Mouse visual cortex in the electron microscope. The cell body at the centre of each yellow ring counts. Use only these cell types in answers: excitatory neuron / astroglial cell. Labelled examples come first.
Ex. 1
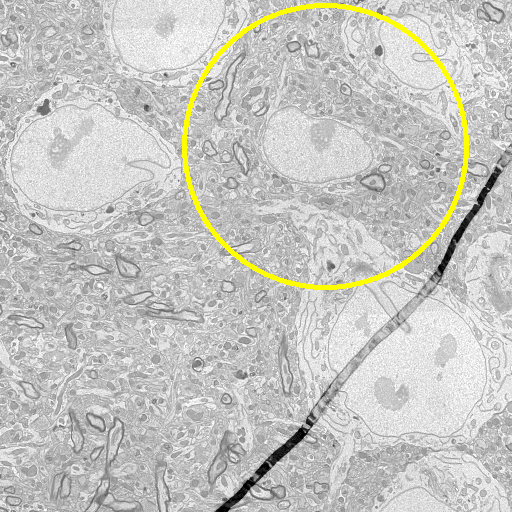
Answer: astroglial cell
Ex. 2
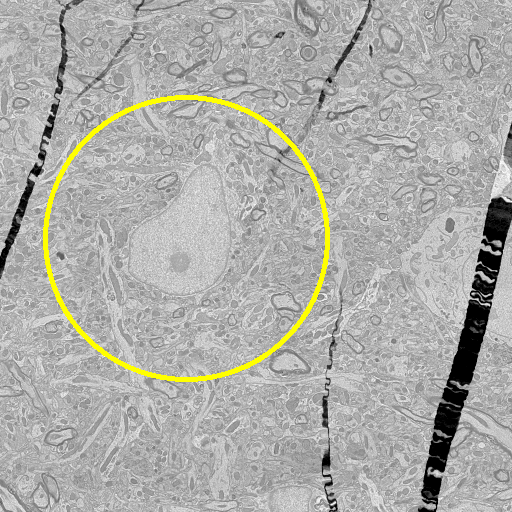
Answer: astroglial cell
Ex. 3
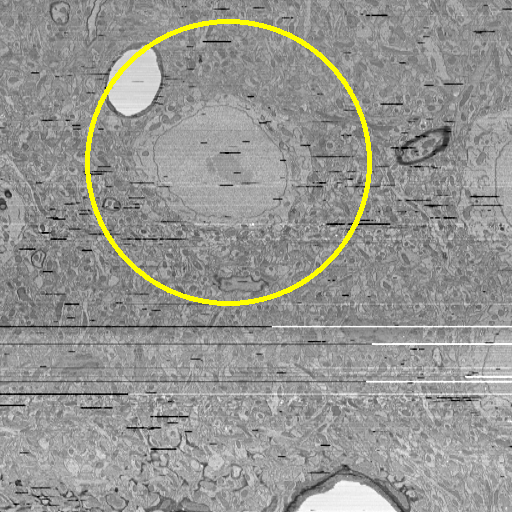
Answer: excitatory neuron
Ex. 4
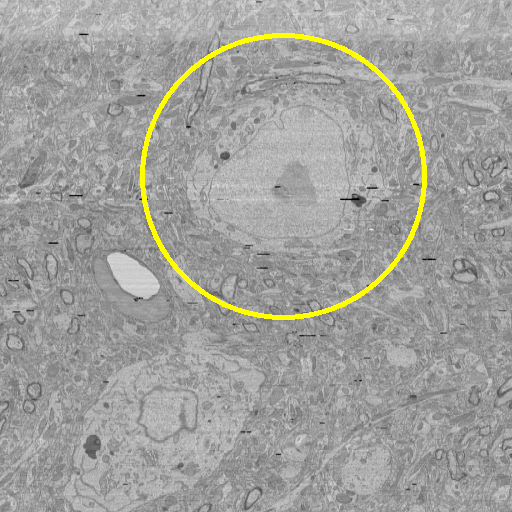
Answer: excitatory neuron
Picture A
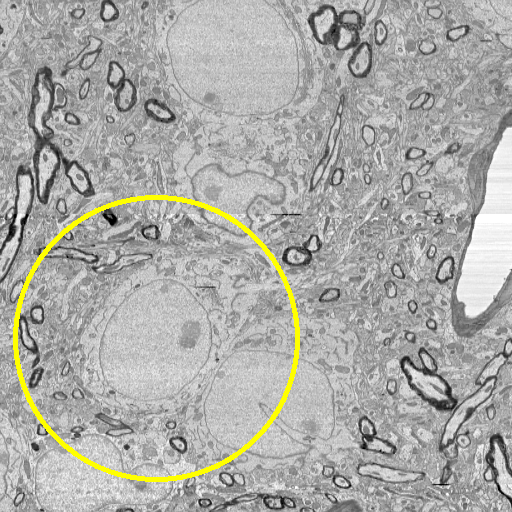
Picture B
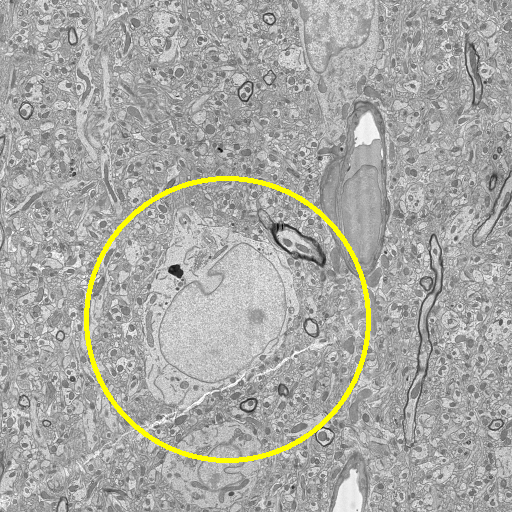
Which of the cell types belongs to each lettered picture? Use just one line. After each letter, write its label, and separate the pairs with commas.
A excitatory neuron, B excitatory neuron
